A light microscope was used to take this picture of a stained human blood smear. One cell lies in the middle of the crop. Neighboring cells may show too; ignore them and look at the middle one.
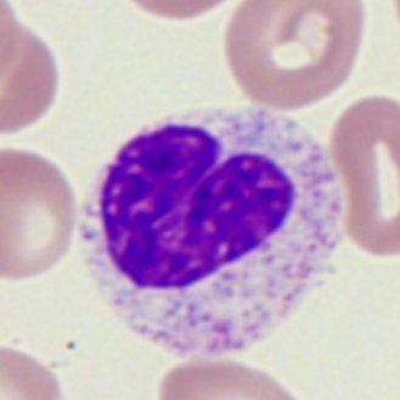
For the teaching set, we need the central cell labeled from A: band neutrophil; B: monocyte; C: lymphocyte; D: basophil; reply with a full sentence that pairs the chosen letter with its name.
In the centre of the crop there is a band neutrophil, making option A correct.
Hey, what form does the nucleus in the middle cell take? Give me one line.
Key feature: a single compact nucleus, round, oval or kidney-shaped.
